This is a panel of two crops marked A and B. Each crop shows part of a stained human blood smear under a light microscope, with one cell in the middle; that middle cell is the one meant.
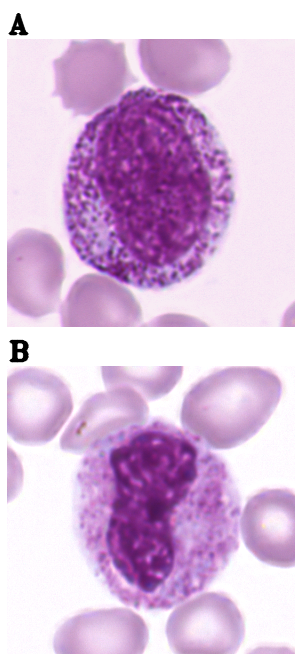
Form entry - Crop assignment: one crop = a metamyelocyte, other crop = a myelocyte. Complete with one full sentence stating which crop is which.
What is seen in crop A is a myelocyte; what is seen in crop B is a metamyelocyte.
